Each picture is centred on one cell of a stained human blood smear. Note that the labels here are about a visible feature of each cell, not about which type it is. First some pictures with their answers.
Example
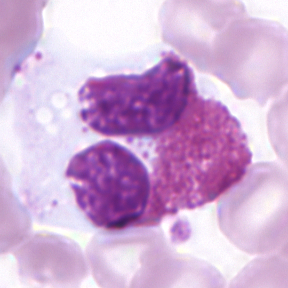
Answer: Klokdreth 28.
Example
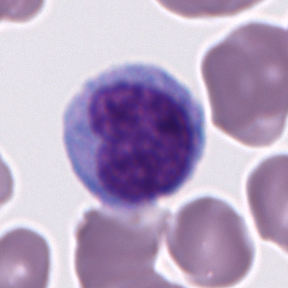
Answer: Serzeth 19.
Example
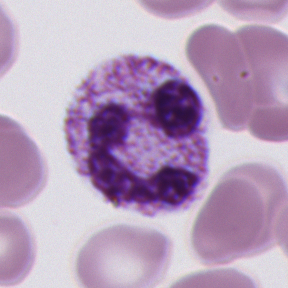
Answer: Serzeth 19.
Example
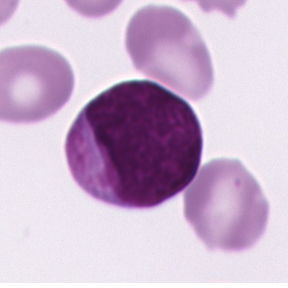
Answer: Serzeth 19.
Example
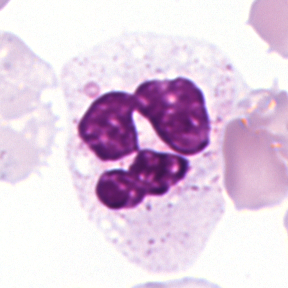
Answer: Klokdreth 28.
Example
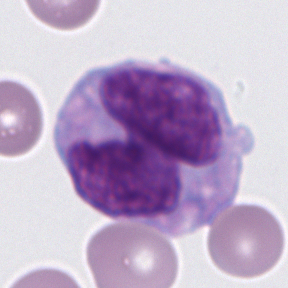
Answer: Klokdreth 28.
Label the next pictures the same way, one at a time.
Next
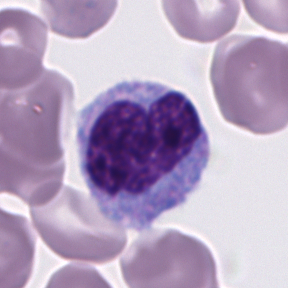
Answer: Serzeth 19.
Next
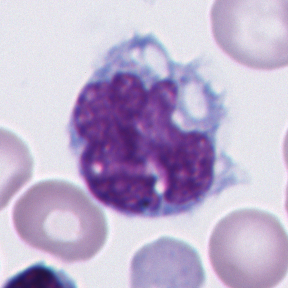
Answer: Klokdreth 28.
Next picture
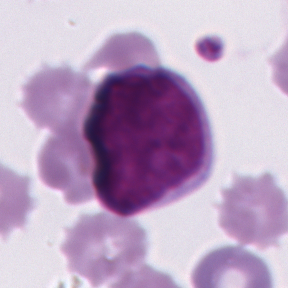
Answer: Serzeth 19.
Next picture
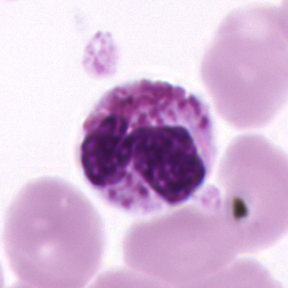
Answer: Serzeth 19.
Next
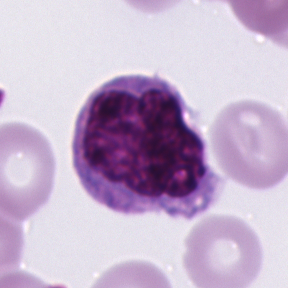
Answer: Serzeth 19.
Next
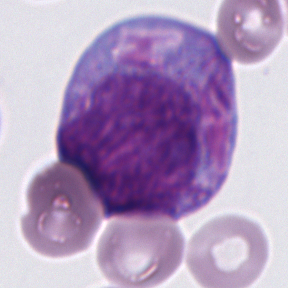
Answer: Serzeth 19.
